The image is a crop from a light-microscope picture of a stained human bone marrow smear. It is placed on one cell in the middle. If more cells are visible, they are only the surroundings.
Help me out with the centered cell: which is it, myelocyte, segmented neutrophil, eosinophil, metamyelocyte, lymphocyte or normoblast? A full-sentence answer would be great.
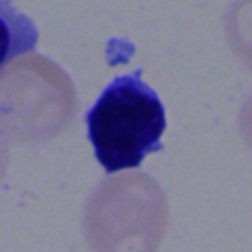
Seen at the centre of the crop is a lymphocyte.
